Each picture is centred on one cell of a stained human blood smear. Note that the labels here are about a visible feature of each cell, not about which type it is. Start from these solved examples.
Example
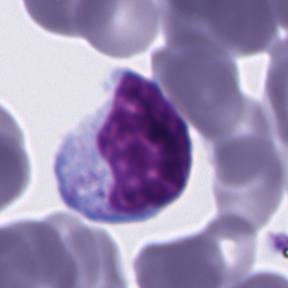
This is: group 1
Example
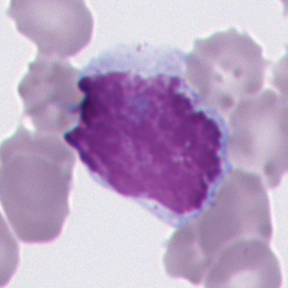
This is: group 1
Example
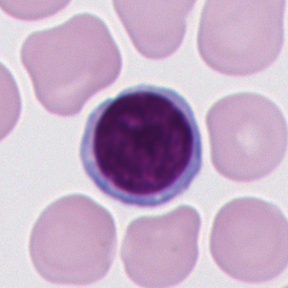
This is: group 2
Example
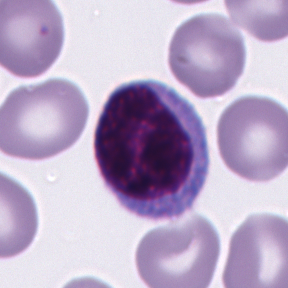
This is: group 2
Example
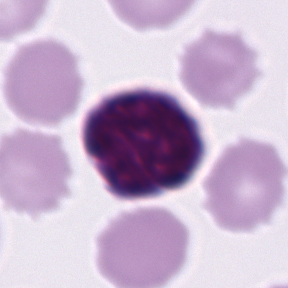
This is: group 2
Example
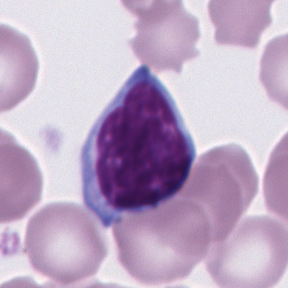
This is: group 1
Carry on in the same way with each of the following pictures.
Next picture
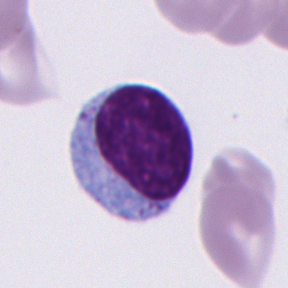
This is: group 2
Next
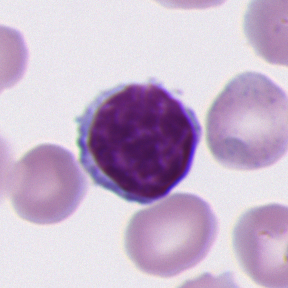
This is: group 1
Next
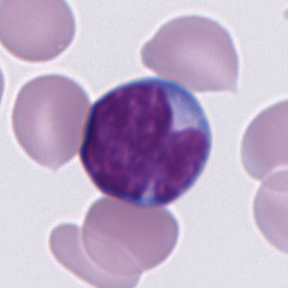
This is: group 2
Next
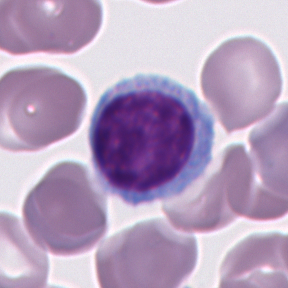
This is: group 1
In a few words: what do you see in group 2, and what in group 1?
group 2: smooth outline; group 1: ragged outline or projections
